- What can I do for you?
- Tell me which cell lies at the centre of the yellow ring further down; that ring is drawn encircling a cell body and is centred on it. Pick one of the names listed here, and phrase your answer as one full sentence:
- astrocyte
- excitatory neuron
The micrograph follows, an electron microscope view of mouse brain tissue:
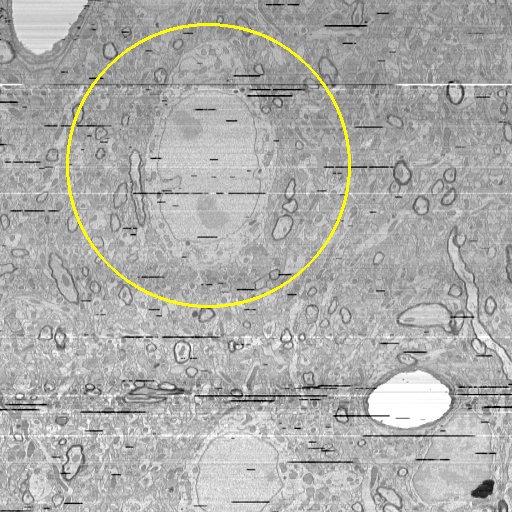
The cell whose body lies at the centre of the yellow ring is an excitatory neuron.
